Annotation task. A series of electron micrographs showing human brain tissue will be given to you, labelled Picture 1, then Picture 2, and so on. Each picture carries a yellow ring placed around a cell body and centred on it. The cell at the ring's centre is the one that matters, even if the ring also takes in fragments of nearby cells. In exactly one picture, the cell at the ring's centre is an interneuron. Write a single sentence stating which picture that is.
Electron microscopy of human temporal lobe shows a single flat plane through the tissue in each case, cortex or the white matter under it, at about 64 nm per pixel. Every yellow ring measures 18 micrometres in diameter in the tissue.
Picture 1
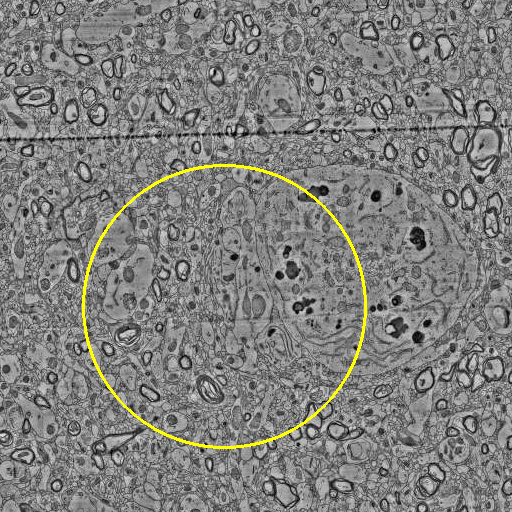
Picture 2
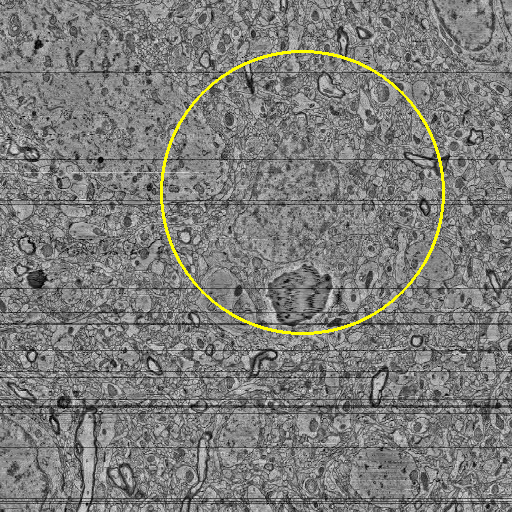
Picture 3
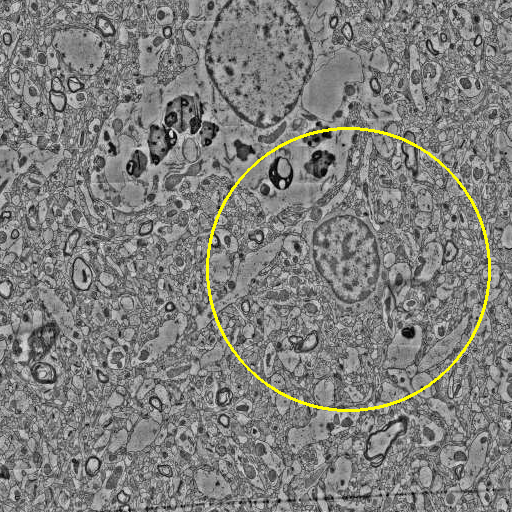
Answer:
Picture 2 holds the requested cell at the very centre of its ring.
